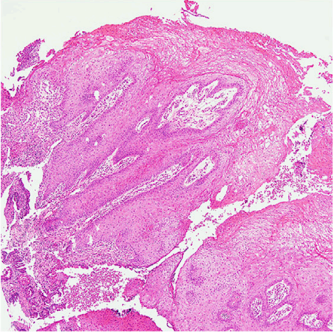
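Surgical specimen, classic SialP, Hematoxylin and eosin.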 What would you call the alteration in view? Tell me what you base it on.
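Thick stratified epithelium forms finger-like projections. Projections have central cores of loose pink stroma. That points to this answer: Papillary proliferation of surface mucosal epithelium.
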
